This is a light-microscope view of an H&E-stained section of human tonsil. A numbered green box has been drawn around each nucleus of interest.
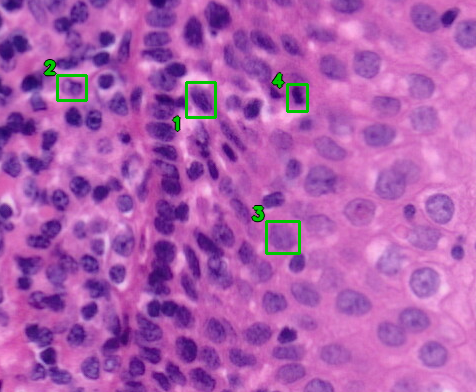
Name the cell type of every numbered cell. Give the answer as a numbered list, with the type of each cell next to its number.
1. squamous epithelial cell
2. plasma cell
3. squamous epithelial cell
4. squamous epithelial cell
